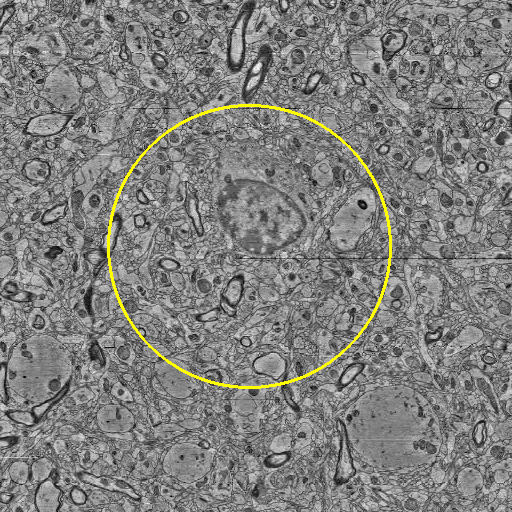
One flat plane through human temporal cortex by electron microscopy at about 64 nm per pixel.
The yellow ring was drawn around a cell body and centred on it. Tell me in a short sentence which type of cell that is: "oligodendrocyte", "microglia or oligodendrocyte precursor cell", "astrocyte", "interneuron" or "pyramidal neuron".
The cell at the ring's centre is an oligodendrocyte.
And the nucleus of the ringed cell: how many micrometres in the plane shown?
In this plane the nucleus is about 6 micrometres by 5.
